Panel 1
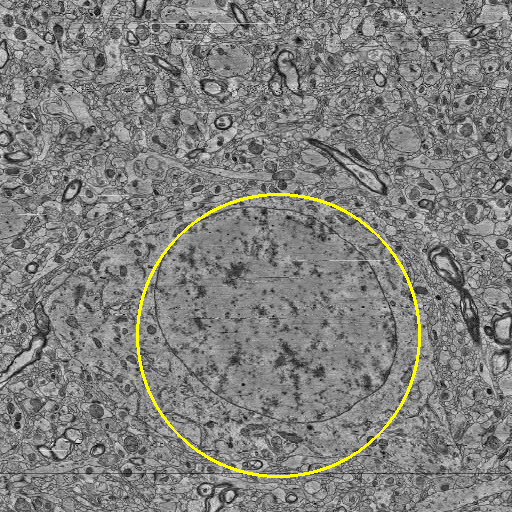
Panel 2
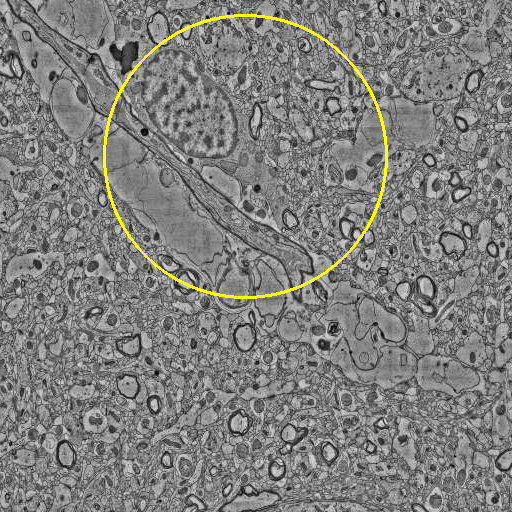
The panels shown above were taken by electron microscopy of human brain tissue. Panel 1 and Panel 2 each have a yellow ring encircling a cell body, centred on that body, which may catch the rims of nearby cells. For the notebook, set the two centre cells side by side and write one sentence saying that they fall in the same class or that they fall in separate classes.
The centred cells of Panel 1 and Panel 2 fall in separate classes.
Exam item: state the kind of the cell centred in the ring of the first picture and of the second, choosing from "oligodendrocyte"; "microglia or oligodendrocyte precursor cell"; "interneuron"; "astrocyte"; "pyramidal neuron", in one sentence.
The first picture shows a pyramidal neuron at the ring centre and the second shows an oligodendrocyte.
